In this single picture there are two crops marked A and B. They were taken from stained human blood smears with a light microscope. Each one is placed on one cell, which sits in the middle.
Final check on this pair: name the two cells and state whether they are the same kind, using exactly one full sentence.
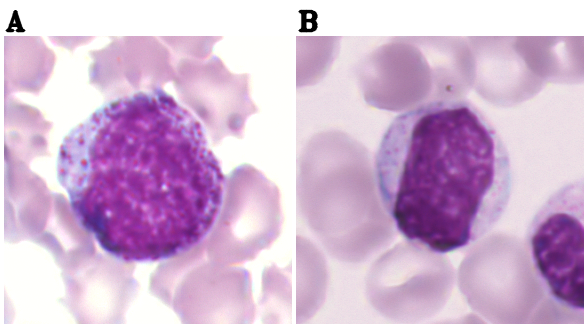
No, the assignment should read crop A, a myelocyte; crop B, a metamyelocyte.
